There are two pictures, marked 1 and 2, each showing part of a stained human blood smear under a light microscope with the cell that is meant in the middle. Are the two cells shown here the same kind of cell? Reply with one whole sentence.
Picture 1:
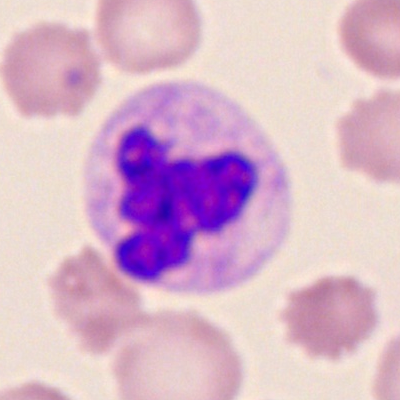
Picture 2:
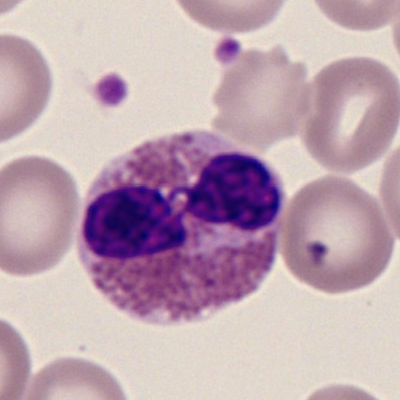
No, they differ: the cell is a segmented neutrophil in picture 1 and an eosinophil in picture 2.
